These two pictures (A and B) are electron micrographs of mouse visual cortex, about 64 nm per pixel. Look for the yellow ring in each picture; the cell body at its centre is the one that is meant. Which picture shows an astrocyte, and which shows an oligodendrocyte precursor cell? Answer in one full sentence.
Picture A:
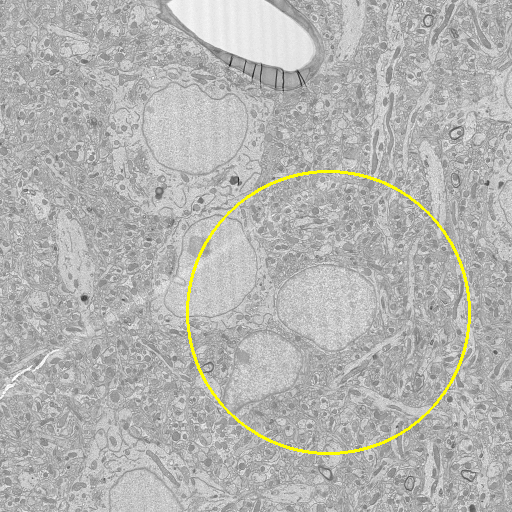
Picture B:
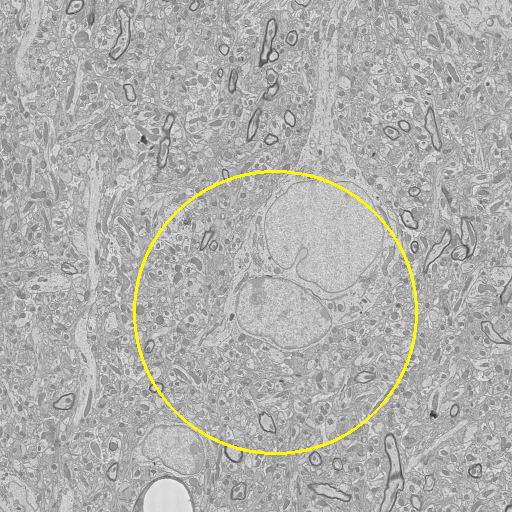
The cell in picture A is an astrocyte, and the one in picture B is an oligodendrocyte precursor cell.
